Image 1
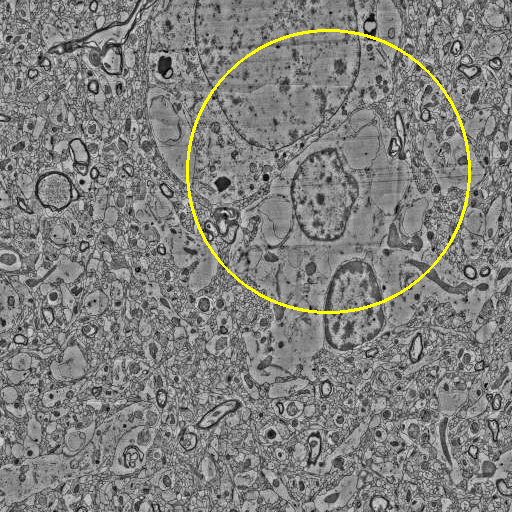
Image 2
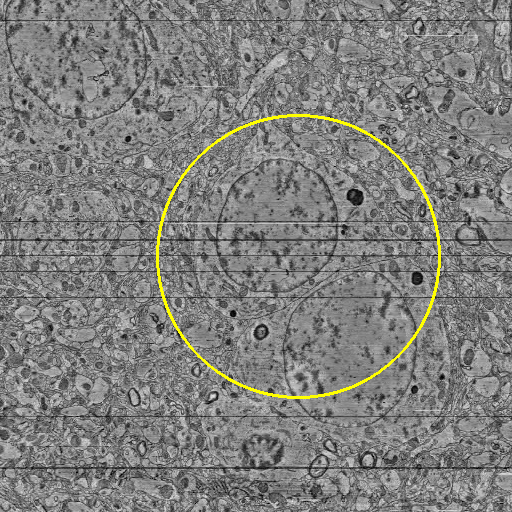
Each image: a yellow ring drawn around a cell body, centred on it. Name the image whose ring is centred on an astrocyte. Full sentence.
That is Image 1.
